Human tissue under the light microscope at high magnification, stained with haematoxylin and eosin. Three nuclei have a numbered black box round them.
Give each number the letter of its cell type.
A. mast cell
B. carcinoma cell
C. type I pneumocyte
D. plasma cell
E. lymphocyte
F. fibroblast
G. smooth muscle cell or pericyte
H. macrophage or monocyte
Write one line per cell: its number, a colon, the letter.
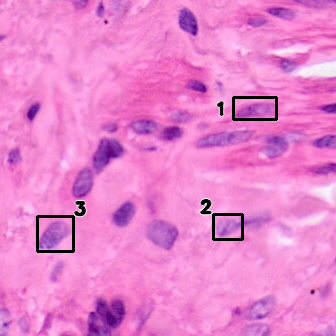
1: G
2: F
3: F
